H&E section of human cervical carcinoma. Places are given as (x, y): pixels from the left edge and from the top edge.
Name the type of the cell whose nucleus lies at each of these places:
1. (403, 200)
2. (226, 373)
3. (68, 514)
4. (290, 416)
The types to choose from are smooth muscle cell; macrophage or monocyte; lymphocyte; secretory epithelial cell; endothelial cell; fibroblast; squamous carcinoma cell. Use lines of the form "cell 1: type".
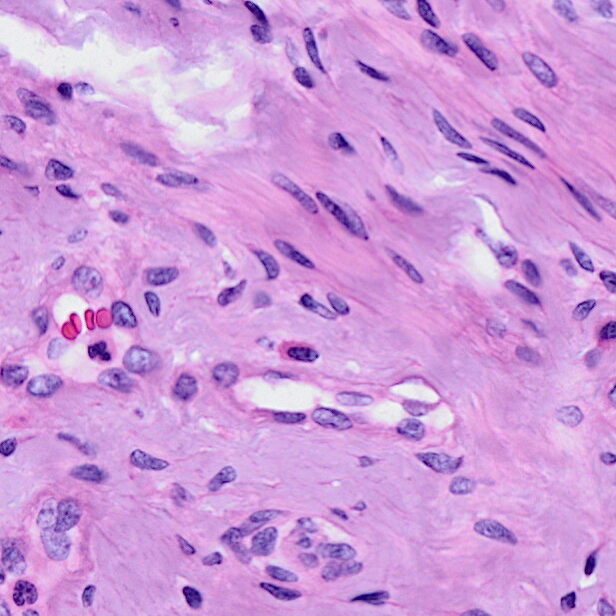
cell 1: fibroblast
cell 2: endothelial cell
cell 3: endothelial cell
cell 4: endothelial cell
